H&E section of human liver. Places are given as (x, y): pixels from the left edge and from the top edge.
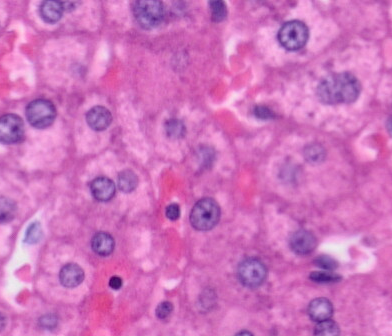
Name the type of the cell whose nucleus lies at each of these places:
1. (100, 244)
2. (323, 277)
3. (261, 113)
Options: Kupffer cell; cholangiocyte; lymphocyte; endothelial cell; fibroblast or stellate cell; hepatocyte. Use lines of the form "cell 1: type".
cell 1: hepatocyte
cell 2: fibroblast or stellate cell
cell 3: Kupffer cell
